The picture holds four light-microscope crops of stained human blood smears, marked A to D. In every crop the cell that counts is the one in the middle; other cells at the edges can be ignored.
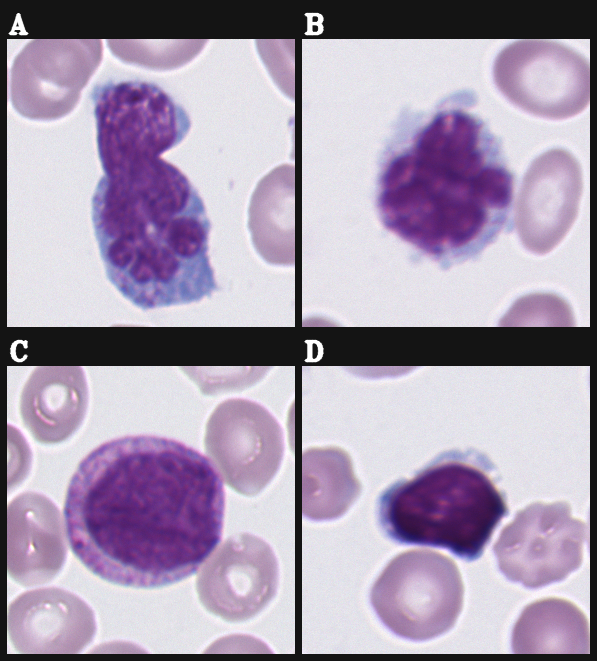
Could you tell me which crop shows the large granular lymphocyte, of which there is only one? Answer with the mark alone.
B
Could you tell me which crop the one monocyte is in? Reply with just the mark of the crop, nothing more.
A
